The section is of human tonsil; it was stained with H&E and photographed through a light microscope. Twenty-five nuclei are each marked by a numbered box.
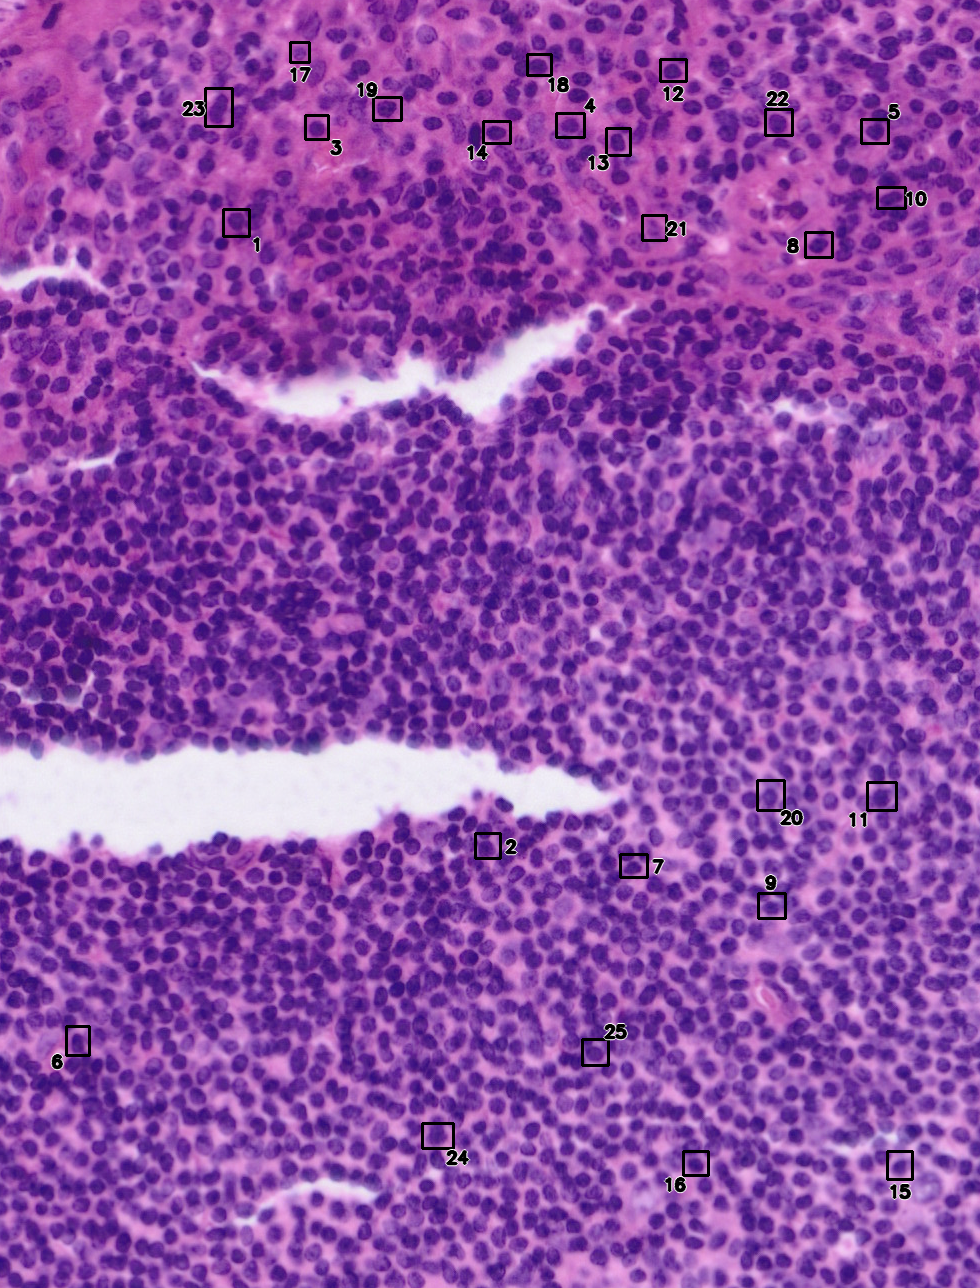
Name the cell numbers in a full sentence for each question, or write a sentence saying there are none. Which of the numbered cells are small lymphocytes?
The cells carrying the numbers 2, 6, 7, 9, 11, 15, 16, 20, 24 and 25 are small lymphocytes.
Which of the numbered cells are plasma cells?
The cells which carry the numbers 1, 3, 4, 5, 8, 10, 12, 13, 14, 18, 19 and 22 are plasma cells.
